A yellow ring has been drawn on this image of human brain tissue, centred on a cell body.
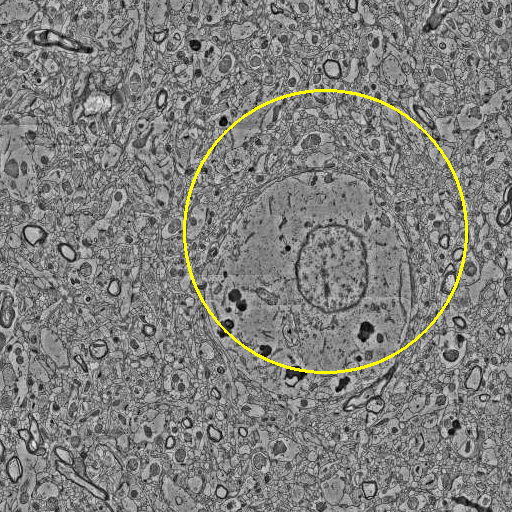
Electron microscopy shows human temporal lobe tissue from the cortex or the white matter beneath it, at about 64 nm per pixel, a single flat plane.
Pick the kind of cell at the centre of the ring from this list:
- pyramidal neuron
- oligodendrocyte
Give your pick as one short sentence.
The centre of the ring holds a pyramidal neuron.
